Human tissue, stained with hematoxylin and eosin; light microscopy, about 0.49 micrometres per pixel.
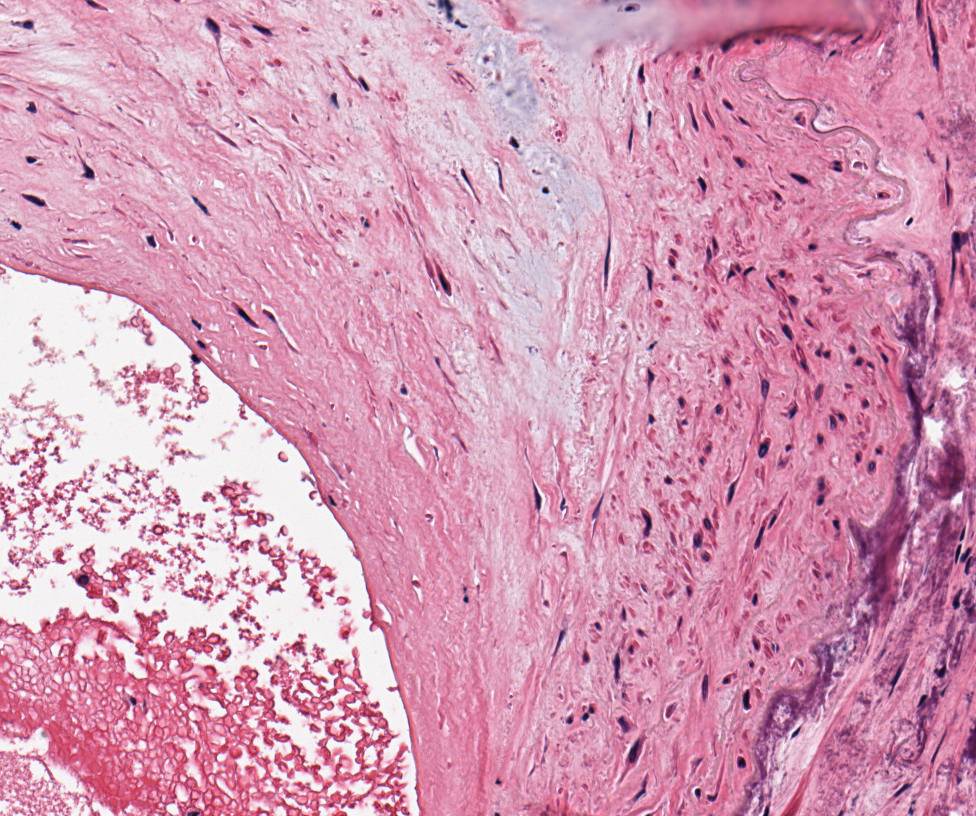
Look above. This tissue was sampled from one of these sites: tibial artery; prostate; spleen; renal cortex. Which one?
tibial artery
